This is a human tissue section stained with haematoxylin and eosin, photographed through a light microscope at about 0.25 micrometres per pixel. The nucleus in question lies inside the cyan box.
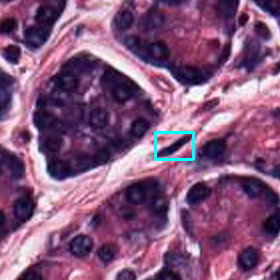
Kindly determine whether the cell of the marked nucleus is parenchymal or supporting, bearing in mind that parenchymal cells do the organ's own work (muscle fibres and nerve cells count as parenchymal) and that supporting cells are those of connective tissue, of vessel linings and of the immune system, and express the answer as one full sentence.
In this field of view, a supporting cell owns the marked nucleus.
